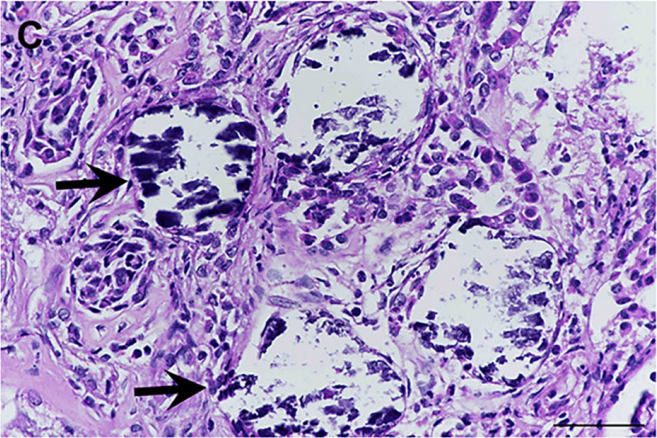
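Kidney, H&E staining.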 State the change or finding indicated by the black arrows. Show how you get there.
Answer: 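Dark purple, fragmented, crystalline-looking deposits fill round tubular lumens. The deposits are surrounded by a rim of tubular epithelium and interstitial cells. The answer: Localized mineralization.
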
